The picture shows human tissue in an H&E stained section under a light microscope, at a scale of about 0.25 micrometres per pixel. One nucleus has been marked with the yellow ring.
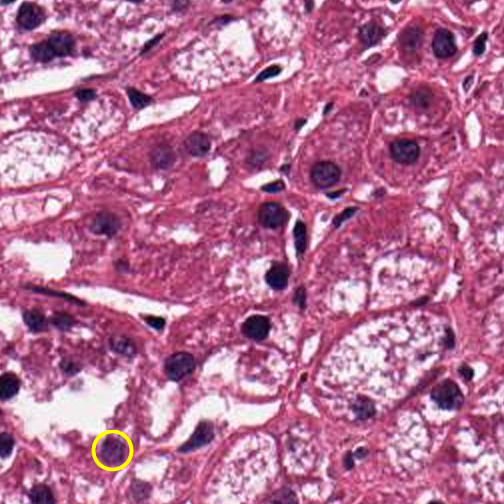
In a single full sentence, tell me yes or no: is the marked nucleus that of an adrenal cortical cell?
Yes, the marked nucleus is in an adrenal cortical cell.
